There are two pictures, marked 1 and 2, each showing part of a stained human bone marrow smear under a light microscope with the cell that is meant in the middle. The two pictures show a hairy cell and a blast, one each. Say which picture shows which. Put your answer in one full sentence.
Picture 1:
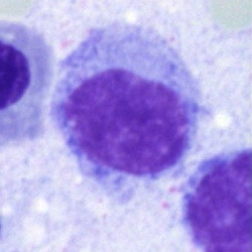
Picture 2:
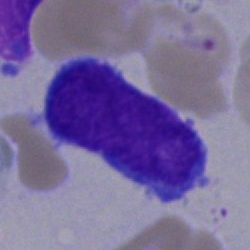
Picture 1 shows a hairy cell and picture 2 shows a blast.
